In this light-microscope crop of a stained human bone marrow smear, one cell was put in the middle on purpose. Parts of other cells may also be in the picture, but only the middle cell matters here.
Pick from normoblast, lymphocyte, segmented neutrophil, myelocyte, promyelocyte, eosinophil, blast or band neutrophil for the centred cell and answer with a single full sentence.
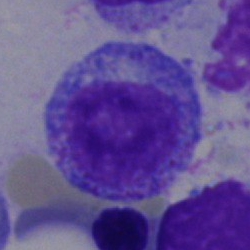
This particular crop is centered on a promyelocyte.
